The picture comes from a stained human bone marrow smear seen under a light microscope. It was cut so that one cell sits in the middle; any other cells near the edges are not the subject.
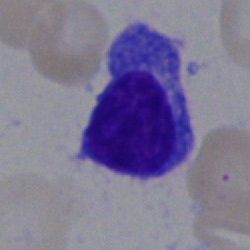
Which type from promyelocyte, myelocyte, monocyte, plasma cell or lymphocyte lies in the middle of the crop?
plasma cell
